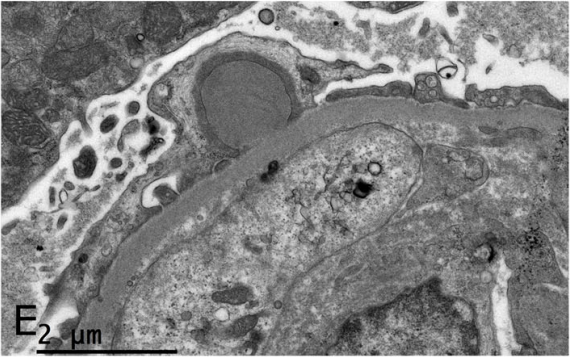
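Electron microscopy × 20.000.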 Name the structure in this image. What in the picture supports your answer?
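A dome-shaped electron-dense deposit sits on the outer side of the basement membrane. The deposit bulges beneath the overlying epithelial cell cytoplasm.
Answer: subepithelial humps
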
